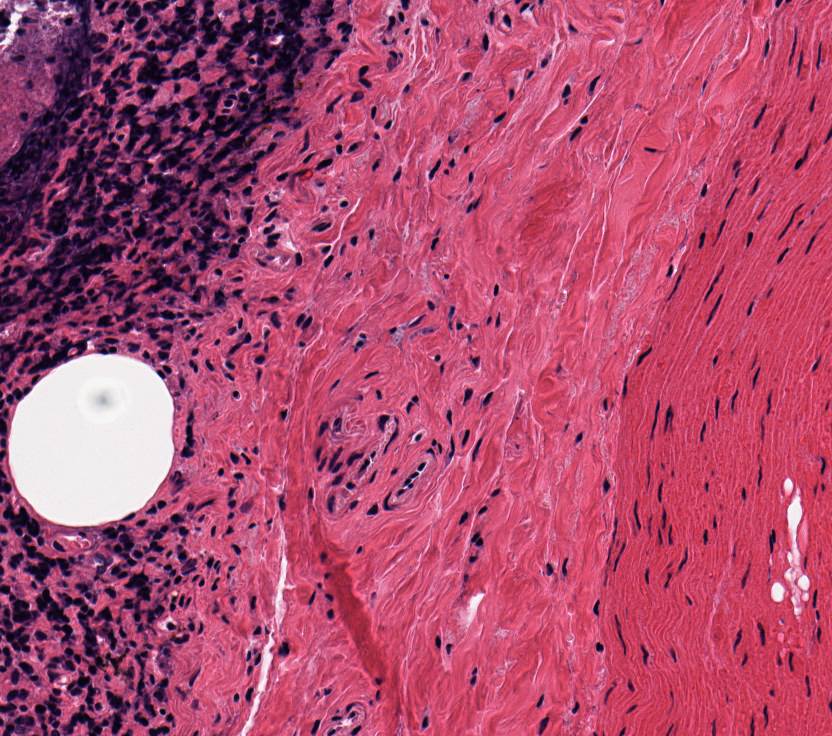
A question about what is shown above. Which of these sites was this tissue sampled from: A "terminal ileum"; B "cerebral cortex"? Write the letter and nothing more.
A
